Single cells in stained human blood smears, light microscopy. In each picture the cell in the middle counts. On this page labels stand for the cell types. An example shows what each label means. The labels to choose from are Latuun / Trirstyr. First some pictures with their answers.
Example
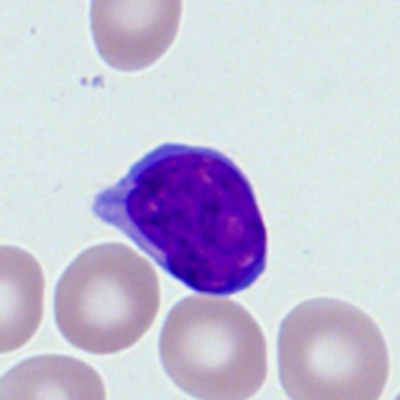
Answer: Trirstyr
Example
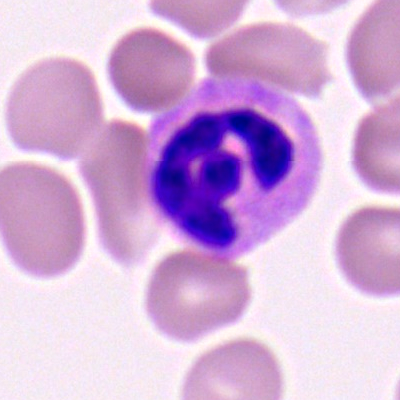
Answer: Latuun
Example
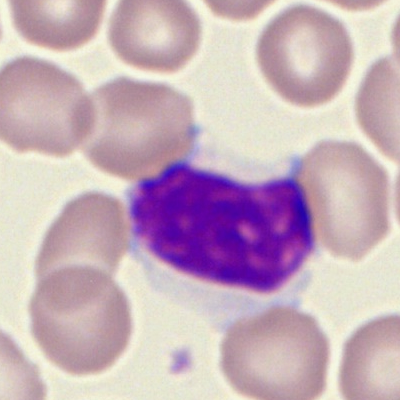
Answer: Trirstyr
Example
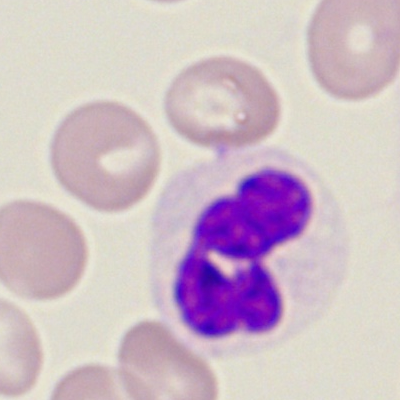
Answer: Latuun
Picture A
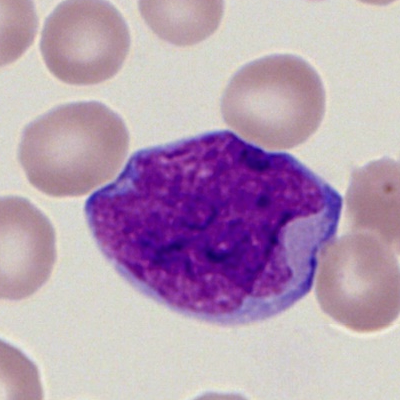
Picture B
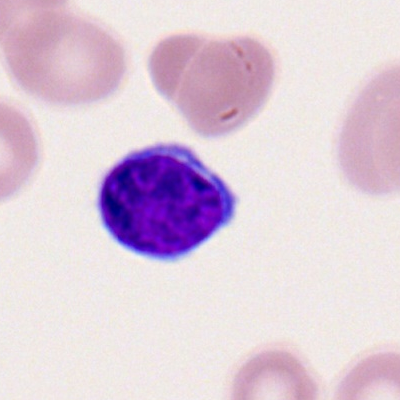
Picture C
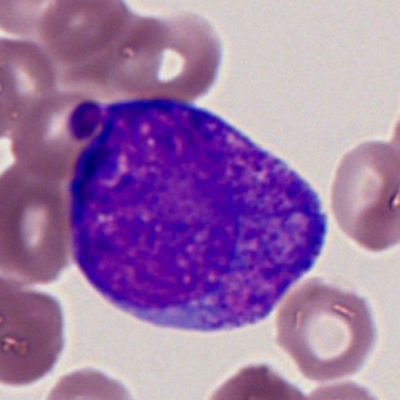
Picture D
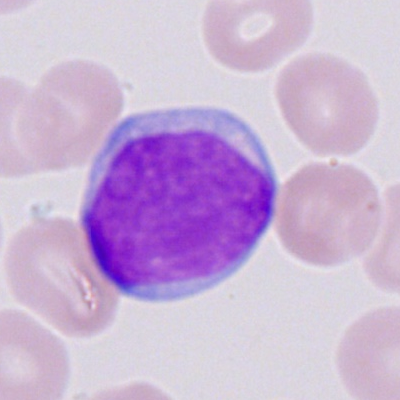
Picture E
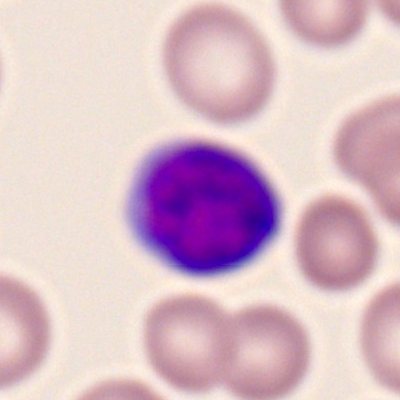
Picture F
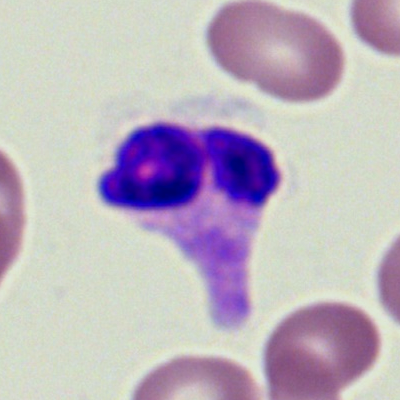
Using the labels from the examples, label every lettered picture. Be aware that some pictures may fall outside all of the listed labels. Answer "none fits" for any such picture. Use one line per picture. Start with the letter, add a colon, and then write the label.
A: none fits
B: Trirstyr
C: none fits
D: none fits
E: Trirstyr
F: Latuun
